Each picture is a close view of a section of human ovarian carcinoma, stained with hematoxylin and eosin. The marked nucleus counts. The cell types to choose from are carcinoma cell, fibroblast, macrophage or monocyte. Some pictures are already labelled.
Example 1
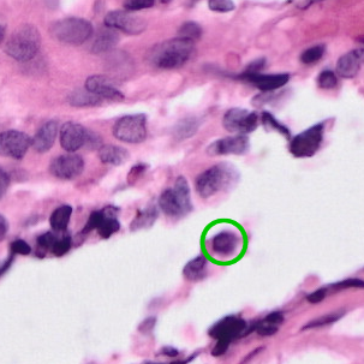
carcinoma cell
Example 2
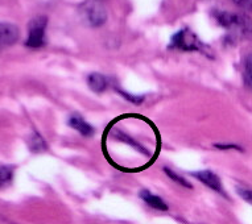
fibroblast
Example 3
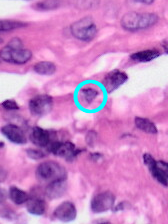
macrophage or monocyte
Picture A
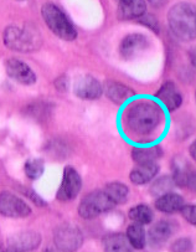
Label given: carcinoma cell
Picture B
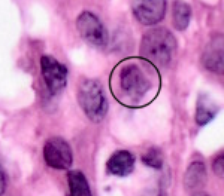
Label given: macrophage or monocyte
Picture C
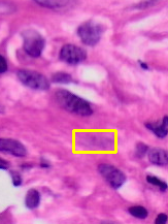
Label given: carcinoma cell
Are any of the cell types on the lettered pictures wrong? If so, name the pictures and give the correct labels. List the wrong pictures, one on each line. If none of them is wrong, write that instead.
C: not carcinoma cell but fibroblast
